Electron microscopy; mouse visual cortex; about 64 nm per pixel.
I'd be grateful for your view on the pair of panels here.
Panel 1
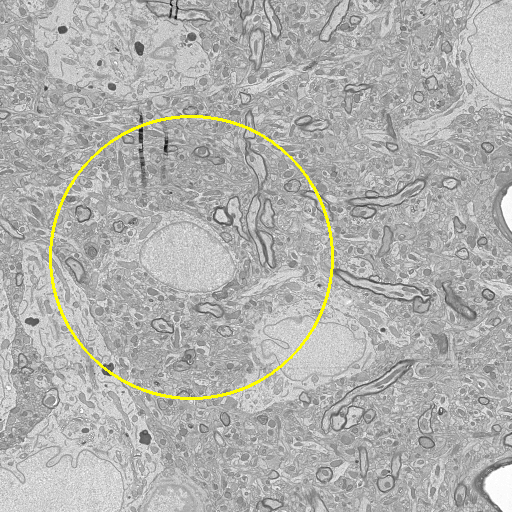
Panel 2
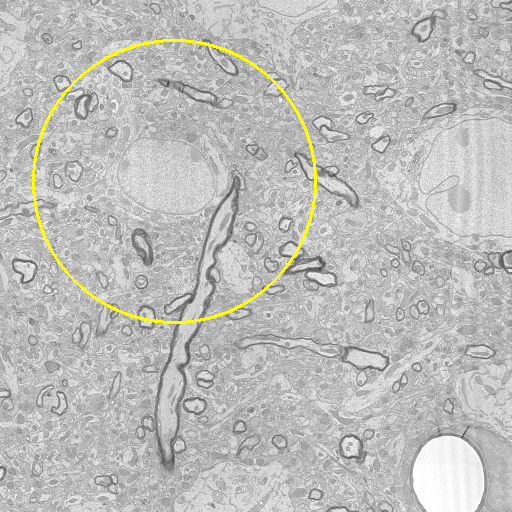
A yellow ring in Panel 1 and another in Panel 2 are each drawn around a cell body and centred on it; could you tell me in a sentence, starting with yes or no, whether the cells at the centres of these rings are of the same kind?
Yes, they are the same kind of cell.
